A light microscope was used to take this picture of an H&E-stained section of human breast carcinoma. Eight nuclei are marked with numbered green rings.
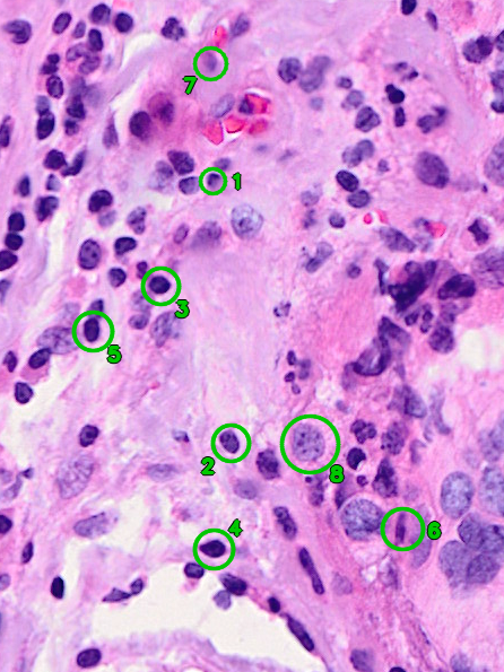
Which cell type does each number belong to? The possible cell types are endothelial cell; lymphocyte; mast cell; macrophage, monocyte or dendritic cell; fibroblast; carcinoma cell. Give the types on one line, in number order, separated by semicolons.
lymphocyte; lymphocyte; lymphocyte; lymphocyte; lymphocyte; carcinoma cell; endothelial cell; macrophage, monocyte or dendritic cell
